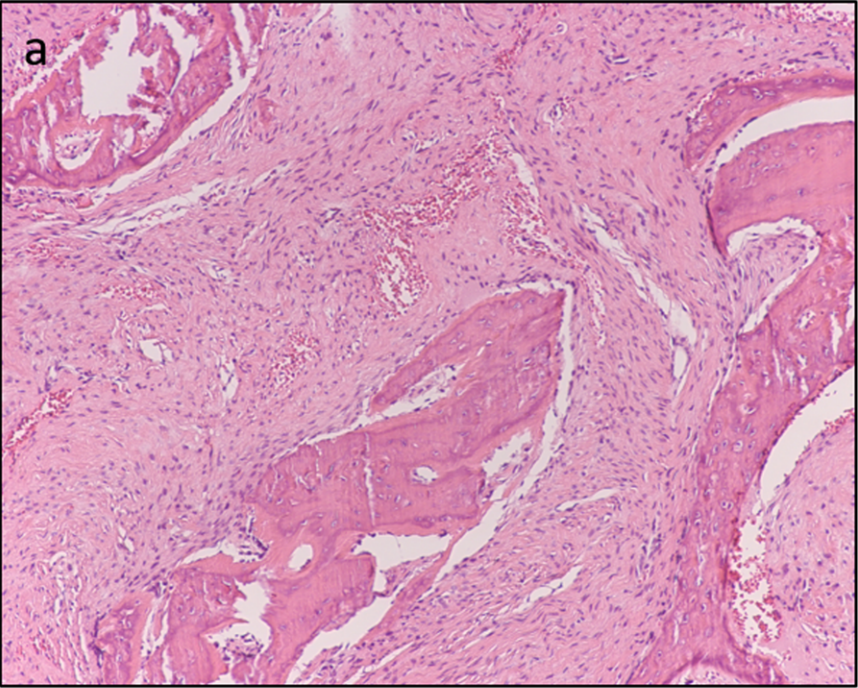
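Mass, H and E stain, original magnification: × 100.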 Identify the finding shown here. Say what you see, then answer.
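Clear, empty slit-like spaces run along the edges of the pink trabeculae. The spaces separate the trabeculae from the surrounding stroma. On this evidence: peritrabecular clefting.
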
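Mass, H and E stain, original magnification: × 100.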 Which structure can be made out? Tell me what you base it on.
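Irregular, elongated pink islands of matrix with small cells sitting in lacunae. These islands lie scattered within a spindle-cell stroma. On this evidence: osseous trabeculae.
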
